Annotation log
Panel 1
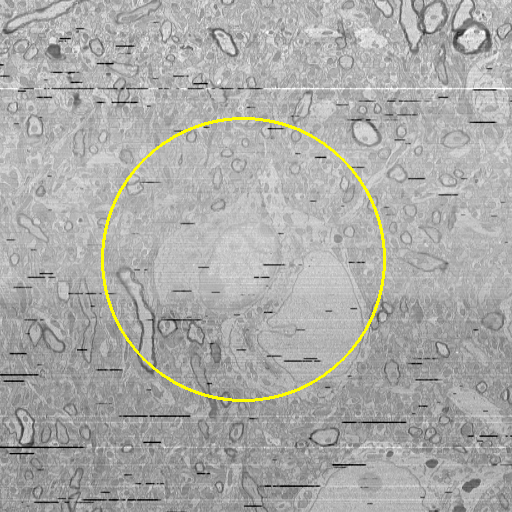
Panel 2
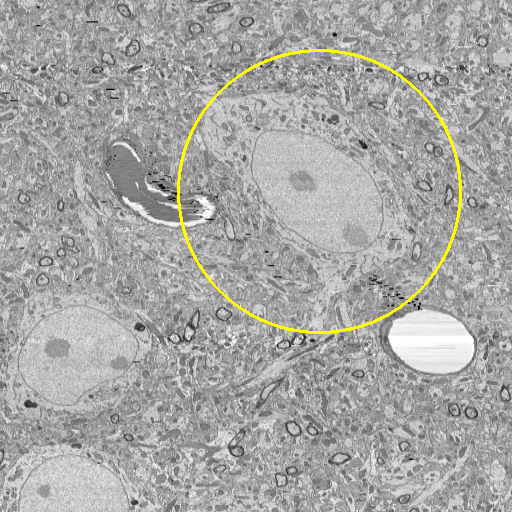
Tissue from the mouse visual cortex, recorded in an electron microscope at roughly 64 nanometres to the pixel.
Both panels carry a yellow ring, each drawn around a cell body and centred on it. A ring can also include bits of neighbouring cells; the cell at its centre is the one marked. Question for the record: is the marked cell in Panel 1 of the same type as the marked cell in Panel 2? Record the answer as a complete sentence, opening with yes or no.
No, the marked cells in Panel 1 and Panel 2 are of two types.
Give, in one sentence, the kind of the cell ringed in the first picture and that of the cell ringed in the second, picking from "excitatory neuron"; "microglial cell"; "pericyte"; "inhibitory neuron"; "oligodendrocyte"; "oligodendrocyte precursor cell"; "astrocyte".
For the first picture it is an oligodendrocyte; for the second, an excitatory neuron.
